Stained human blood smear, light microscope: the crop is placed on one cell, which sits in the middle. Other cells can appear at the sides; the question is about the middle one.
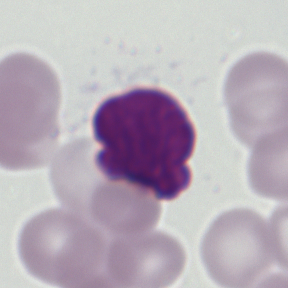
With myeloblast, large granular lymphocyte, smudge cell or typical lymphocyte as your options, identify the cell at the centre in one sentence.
The cell under consideration, at the middle of the crop, is a smudge cell.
